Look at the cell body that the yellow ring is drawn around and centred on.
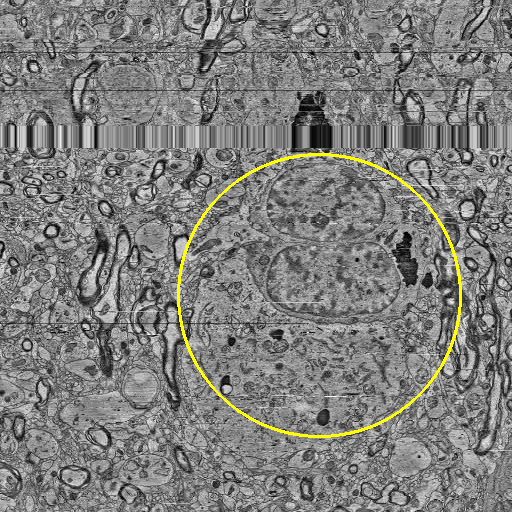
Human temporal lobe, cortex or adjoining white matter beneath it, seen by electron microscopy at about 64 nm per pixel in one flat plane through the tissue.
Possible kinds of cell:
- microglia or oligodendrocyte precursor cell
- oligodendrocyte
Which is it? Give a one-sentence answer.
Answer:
The centred cell body is that of an oligodendrocyte.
